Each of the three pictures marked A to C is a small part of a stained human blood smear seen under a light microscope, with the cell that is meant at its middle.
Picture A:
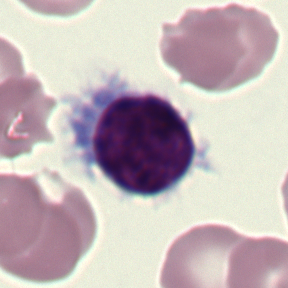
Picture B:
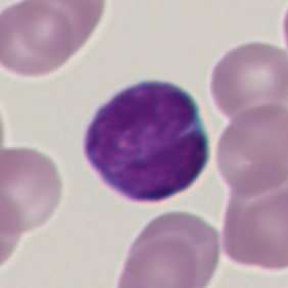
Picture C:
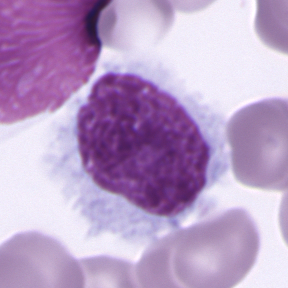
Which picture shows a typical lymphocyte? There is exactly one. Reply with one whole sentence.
The picture with the typical lymphocyte is B.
